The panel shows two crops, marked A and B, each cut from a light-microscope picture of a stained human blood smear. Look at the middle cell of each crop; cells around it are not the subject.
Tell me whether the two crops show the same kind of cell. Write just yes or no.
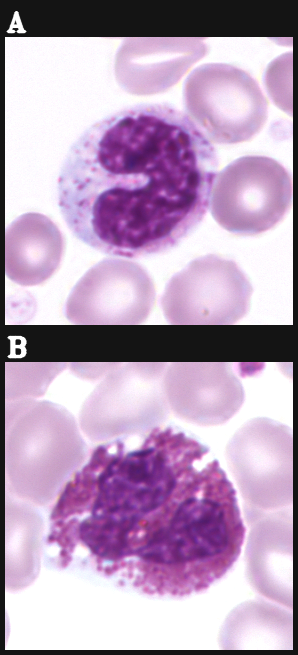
no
